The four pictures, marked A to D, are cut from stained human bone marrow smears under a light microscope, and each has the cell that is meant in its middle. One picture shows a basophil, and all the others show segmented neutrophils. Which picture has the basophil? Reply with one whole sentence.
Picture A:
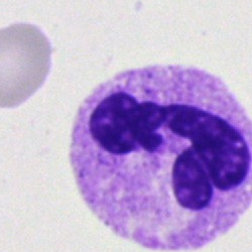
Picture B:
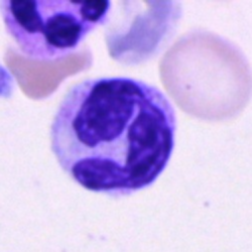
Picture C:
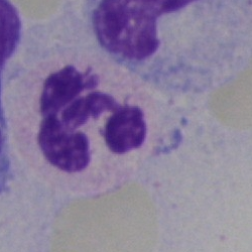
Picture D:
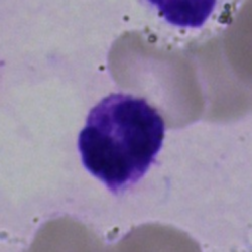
The basophil is the one in picture D.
